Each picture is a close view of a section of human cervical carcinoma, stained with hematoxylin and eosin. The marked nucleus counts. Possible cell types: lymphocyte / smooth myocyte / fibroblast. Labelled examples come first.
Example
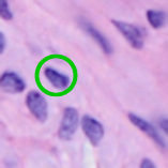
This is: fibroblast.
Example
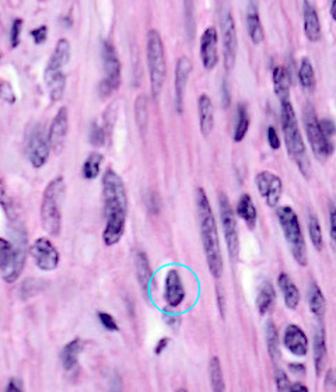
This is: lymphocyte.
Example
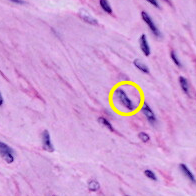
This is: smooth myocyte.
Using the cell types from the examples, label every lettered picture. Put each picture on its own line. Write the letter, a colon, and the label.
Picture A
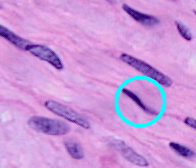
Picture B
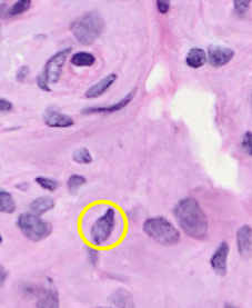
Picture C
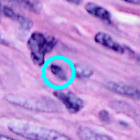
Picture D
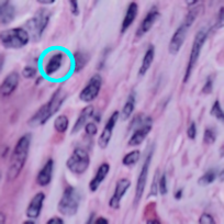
A: fibroblast.
B: fibroblast.
C: lymphocyte.
D: lymphocyte.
